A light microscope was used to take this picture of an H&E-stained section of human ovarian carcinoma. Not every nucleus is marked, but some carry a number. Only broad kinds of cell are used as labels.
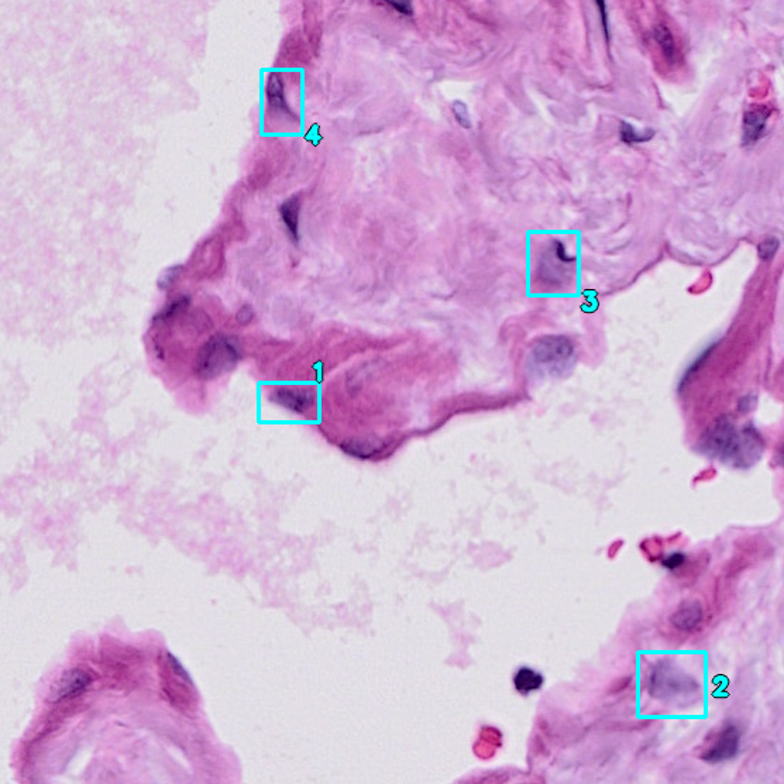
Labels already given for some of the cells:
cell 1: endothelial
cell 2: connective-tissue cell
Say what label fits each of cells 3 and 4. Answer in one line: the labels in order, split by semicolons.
connective-tissue cell; endothelial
